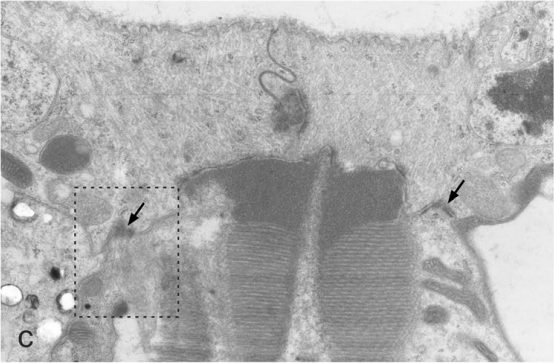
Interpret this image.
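This electron micrograph shows the distal ends of photoreceptor cells meeting the overlying cone cells, with two dense dark blocks of extracellular cap material sitting between the rhabdomere tips and the cone cells. Beneath the caps the rhabdomeres appear as finely striated stacks, while the cone cells above form a broad granular cytoplasmic layer, with a thin wavy membrane running up between two of them. At the edges of the photoreceptor tips small dense adhesion sites join their membranes to the cone cells. At the left margin lie pigment cells with vesicles and dark granules.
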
